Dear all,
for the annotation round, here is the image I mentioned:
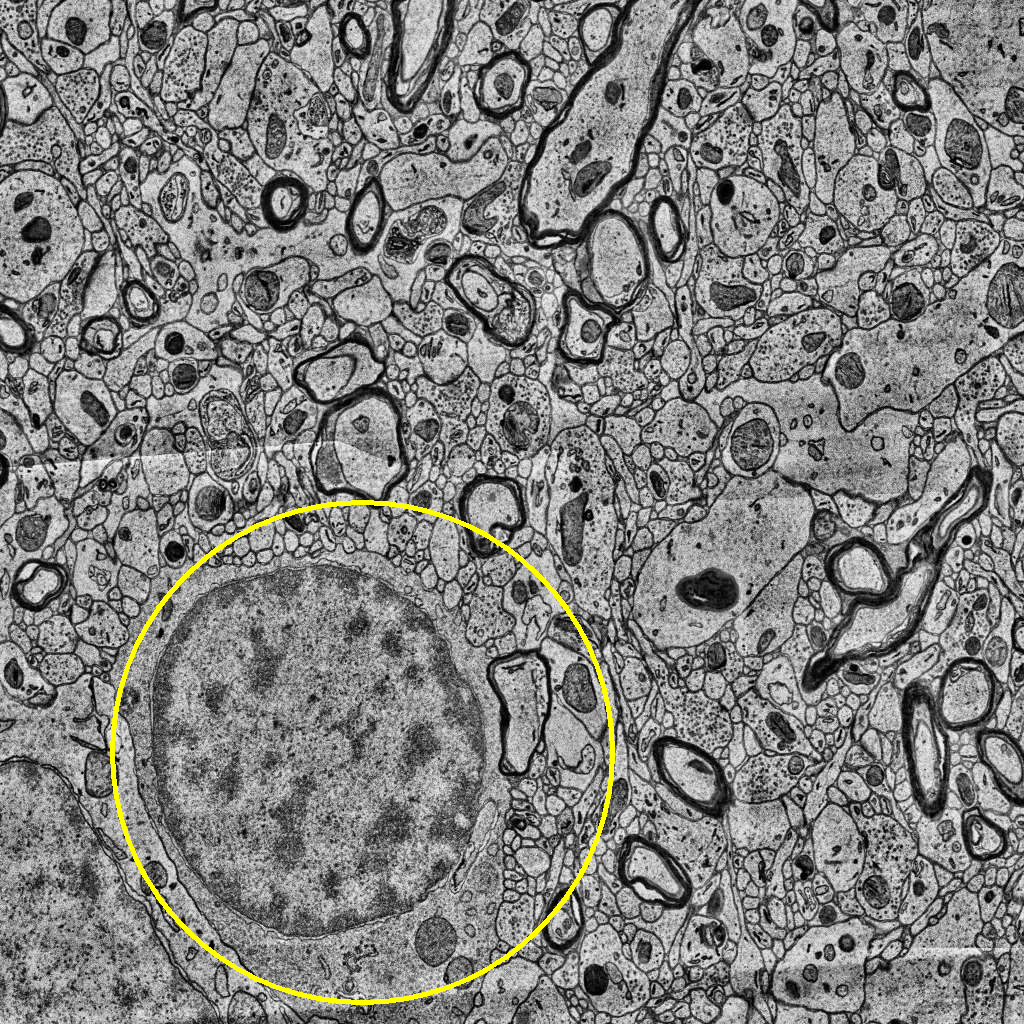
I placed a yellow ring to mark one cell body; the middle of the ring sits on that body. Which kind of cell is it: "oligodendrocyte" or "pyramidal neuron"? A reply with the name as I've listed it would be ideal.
oligodendrocyte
